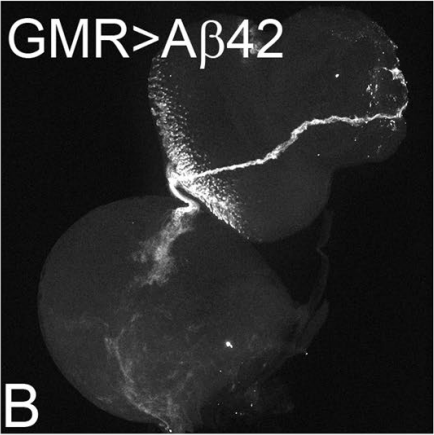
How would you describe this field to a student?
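Here the eye imaginal disc shows labelled photoreceptor clusters, but their lattice is irregular and fades in parts of the disc. Only a thin, faint stream of retinal axons passes into the neighbouring round brain lobe. No organized fan or crescent-shaped terminal layers form there, so the axons fail to target the brain properly.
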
